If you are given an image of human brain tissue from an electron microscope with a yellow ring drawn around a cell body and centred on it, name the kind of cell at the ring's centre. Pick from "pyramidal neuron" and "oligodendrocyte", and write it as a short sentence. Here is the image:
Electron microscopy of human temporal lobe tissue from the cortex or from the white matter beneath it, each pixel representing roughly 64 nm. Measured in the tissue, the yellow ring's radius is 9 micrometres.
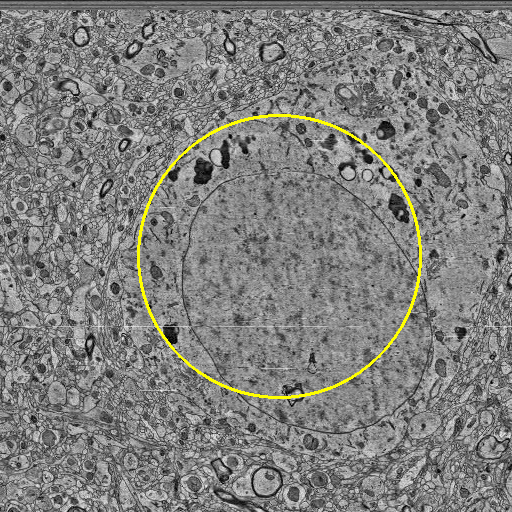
The cell at the ring's centre is a pyramidal neuron.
